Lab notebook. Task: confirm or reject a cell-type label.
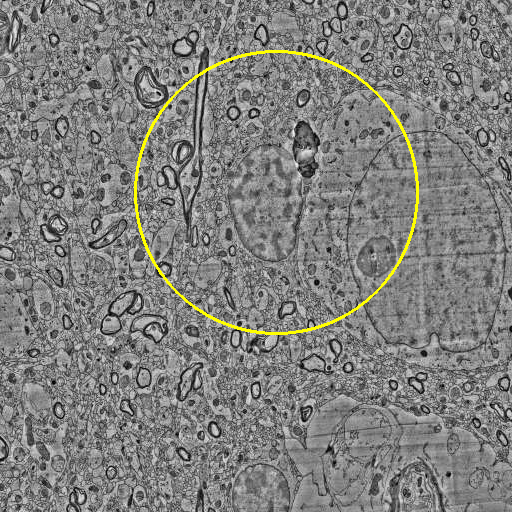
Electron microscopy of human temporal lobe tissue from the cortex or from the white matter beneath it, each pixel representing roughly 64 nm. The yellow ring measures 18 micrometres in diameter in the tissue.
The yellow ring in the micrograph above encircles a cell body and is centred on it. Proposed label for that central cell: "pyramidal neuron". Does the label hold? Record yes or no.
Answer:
no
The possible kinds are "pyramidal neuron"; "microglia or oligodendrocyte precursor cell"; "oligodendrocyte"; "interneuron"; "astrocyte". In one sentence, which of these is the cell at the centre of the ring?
The ring holds an oligodendrocyte at its centre.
